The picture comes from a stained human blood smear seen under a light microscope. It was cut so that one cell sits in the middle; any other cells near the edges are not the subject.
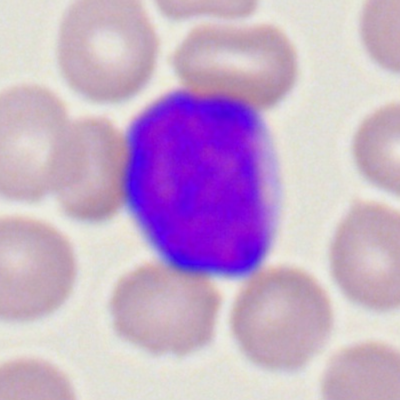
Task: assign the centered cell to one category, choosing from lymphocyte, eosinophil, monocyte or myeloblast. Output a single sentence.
The cell centred in this crop is categorized as a myeloblast.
